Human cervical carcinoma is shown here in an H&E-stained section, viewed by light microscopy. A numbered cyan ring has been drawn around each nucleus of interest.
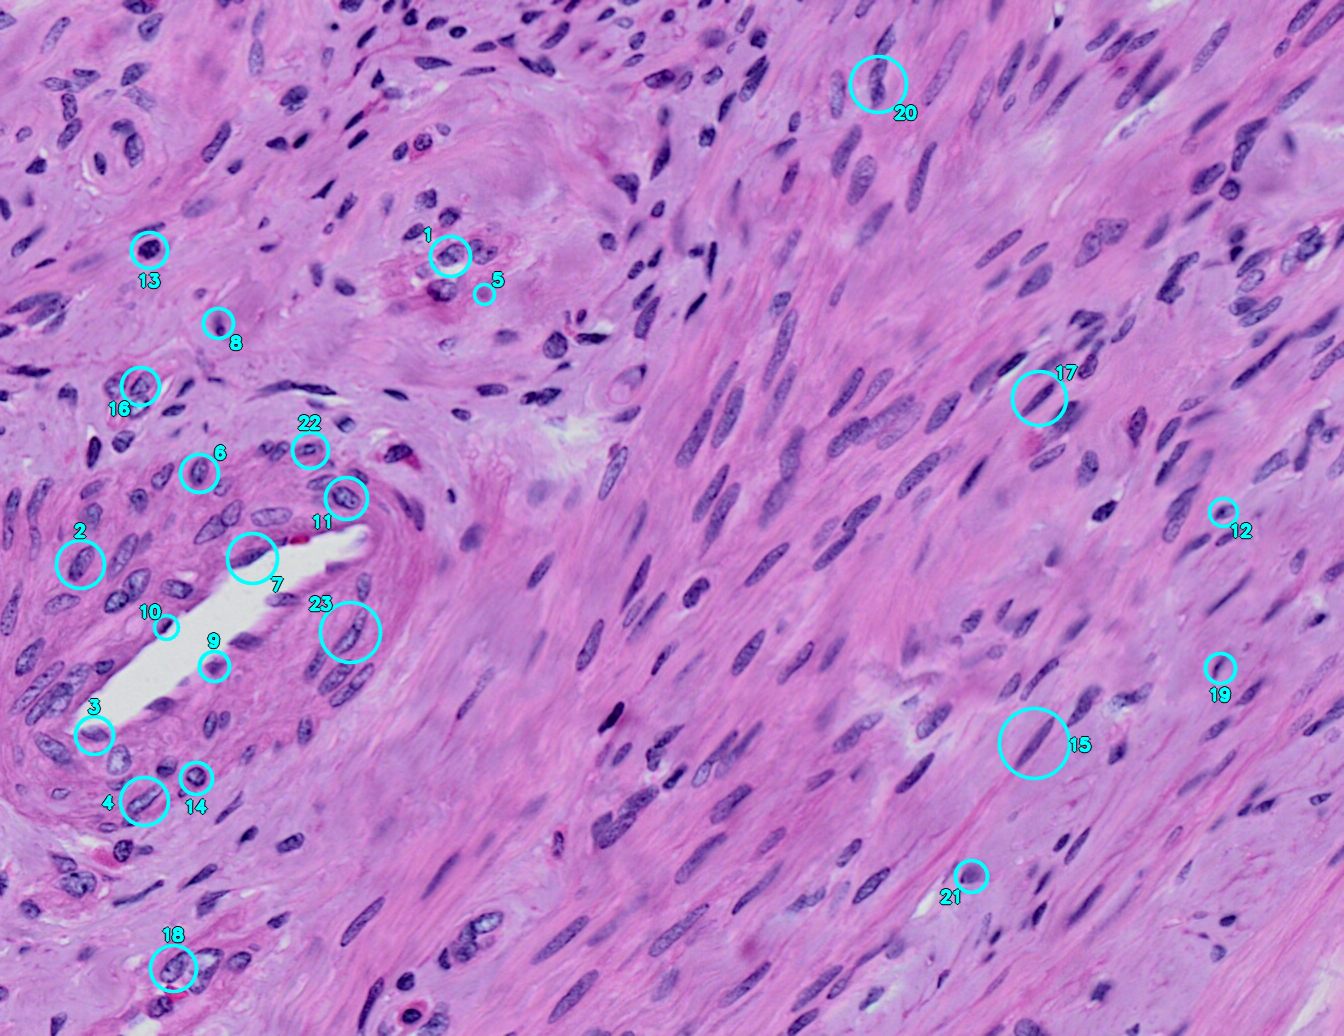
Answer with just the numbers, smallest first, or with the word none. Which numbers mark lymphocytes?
13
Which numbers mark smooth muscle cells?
2, 4, 5, 6, 11, 14, 22, 23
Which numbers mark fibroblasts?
8, 12, 15, 17, 19, 20, 21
